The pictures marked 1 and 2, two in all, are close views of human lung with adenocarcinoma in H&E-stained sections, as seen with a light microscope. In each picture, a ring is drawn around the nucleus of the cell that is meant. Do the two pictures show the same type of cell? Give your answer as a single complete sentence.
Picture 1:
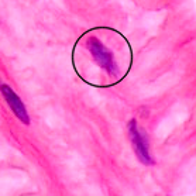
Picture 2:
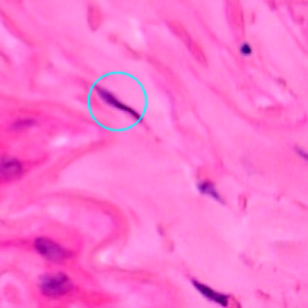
No. Picture 1 shows a “smooth muscle cell or pericyte”, but picture 2 shows a fibroblast.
